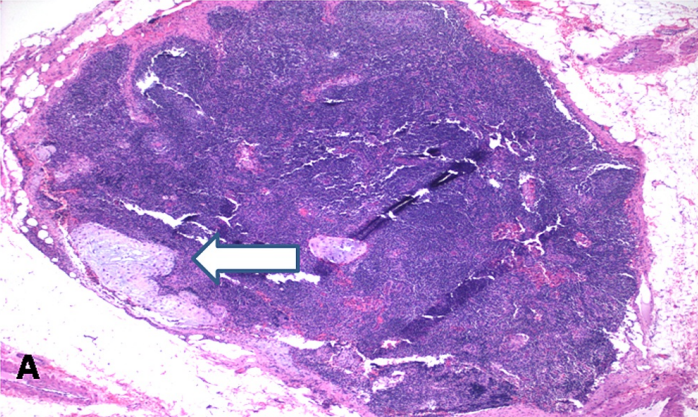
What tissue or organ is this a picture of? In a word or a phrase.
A: Lymph nodes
